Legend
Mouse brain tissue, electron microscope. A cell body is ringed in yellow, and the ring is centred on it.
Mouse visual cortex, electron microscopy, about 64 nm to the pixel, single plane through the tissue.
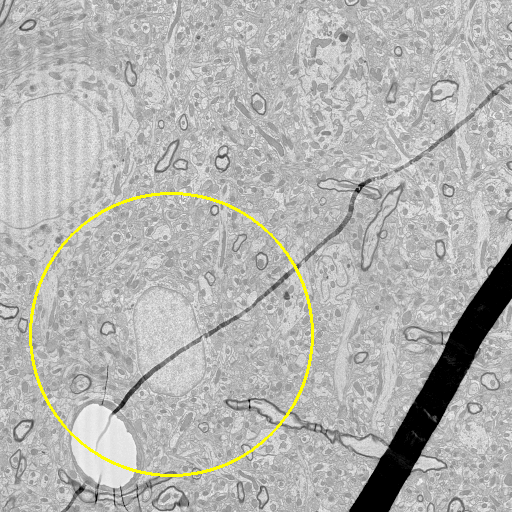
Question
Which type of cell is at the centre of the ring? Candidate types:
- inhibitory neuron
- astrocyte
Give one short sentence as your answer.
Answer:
The yellow ring is centred here on an astrocyte.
